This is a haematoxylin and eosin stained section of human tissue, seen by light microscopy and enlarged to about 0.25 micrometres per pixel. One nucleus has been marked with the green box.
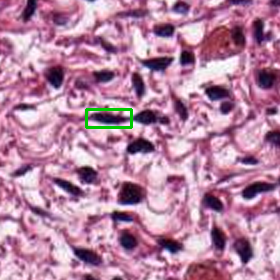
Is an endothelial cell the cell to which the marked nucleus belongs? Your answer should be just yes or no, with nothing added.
no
